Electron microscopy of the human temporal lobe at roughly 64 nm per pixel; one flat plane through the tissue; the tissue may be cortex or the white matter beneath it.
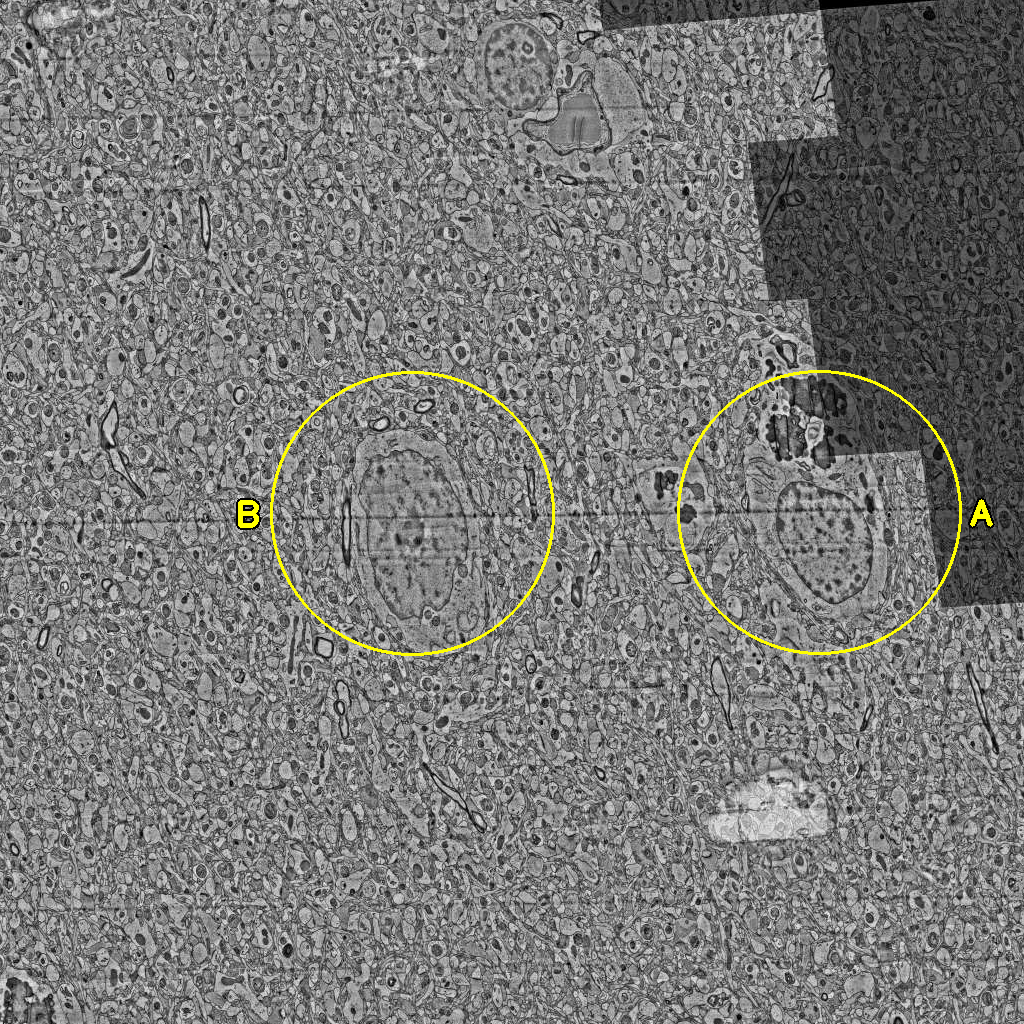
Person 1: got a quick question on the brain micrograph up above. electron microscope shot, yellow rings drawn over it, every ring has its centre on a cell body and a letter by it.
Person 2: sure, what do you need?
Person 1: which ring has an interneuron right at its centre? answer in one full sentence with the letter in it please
In that picture, ring B is centred on the cell asked for.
